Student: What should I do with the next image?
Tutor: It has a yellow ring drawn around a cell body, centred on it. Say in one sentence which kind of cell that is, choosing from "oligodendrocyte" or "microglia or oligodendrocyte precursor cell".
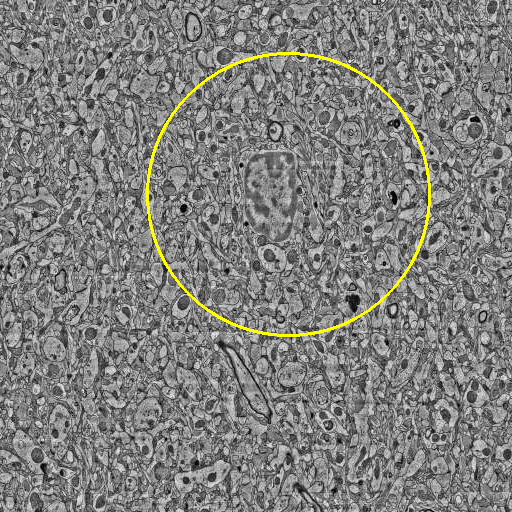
The ring's centre is occupied by a microglial cell or oligodendrocyte precursor cell.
